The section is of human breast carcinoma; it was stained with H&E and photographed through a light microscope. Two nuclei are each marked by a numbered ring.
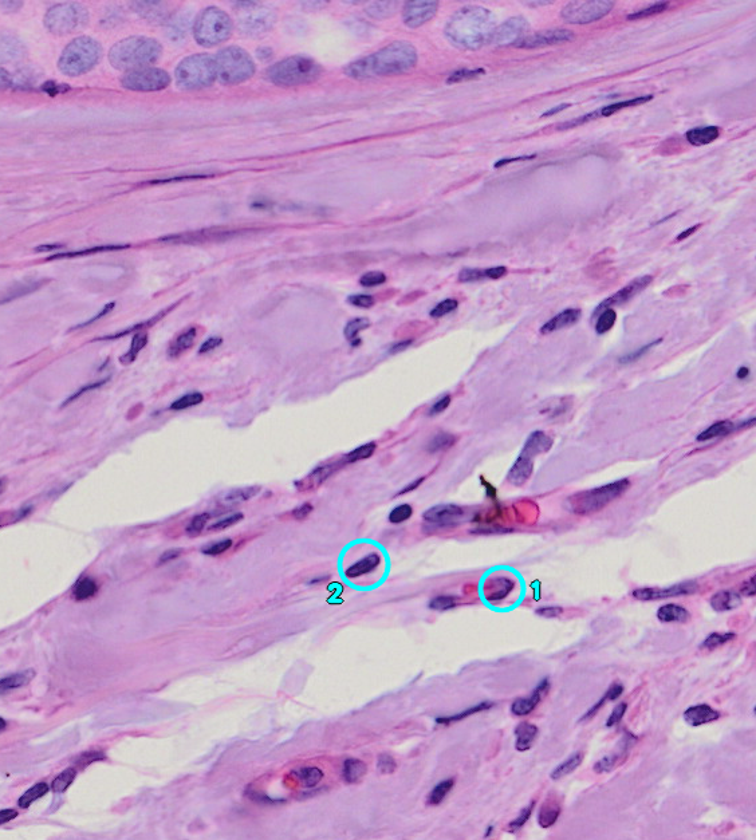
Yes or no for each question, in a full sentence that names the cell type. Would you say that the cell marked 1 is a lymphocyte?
No, it is an endothelial cell that is marked with number 1, not a lymphocyte.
